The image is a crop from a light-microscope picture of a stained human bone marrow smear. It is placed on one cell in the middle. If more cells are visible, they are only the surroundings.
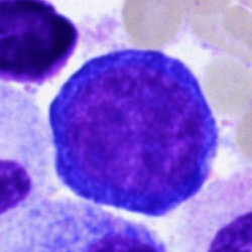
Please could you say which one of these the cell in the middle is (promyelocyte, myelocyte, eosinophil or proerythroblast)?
proerythroblast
